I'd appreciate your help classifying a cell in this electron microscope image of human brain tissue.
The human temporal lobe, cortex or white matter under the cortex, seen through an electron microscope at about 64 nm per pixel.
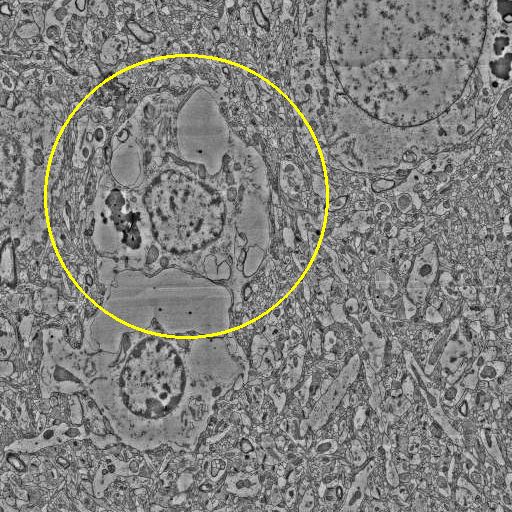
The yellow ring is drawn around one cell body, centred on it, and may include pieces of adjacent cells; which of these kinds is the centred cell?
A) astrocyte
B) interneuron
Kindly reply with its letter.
A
